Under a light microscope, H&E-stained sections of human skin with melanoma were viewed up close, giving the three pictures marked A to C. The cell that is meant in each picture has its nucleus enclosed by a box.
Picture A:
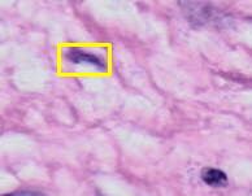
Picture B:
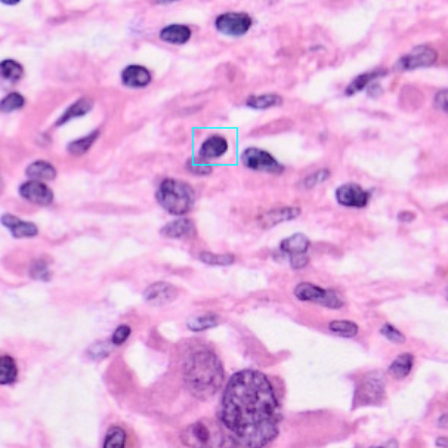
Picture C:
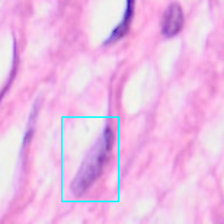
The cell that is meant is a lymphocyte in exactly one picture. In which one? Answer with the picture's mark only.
B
